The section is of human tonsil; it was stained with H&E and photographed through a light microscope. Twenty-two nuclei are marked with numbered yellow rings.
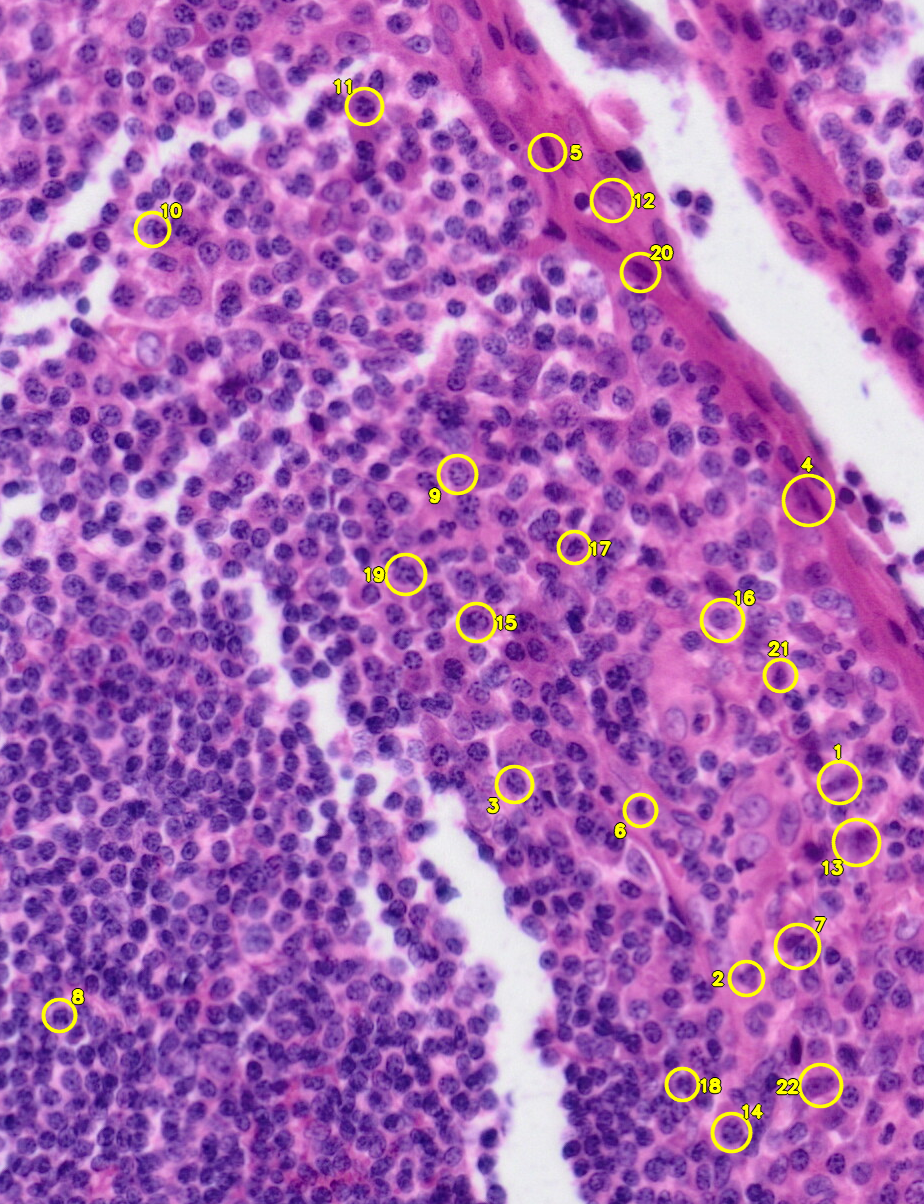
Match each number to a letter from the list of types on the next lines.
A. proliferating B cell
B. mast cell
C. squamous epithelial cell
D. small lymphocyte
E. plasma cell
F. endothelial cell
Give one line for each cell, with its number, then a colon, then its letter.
1: C
2: F
3: E
4: C
5: C
6: F
7: C
8: D
9: E
10: E
11: E
12: C
13: C
14: E
15: E
16: C
17: E
18: E
19: E
20: C
21: C
22: C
